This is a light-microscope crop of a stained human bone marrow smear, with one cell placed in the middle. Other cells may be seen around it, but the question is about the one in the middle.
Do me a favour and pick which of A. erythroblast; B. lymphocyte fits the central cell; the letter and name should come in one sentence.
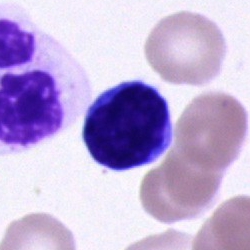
Well, the cell in the middle is a lymphocyte, making option B right.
